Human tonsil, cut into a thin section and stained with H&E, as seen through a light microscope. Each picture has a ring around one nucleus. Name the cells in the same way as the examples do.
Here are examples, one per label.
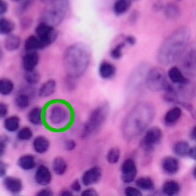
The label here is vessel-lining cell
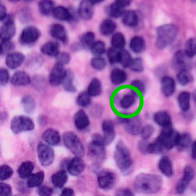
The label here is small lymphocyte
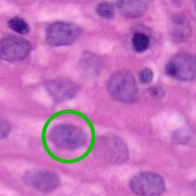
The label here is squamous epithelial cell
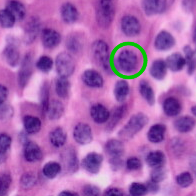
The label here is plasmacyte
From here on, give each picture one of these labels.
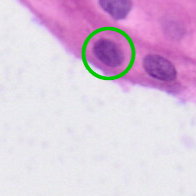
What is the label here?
squamous epithelial cell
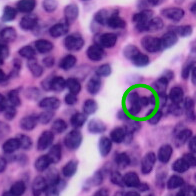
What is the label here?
small lymphocyte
